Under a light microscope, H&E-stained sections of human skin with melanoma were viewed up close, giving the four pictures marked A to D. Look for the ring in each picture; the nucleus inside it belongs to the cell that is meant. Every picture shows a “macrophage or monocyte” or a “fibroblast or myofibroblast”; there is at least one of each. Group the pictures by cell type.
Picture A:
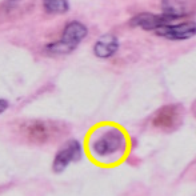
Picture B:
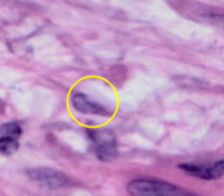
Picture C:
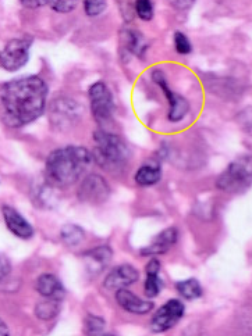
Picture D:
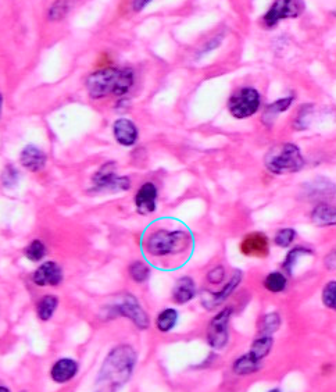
A: macrophage or monocyte
B: fibroblast or myofibroblast
C: macrophage or monocyte
D: macrophage or monocyte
